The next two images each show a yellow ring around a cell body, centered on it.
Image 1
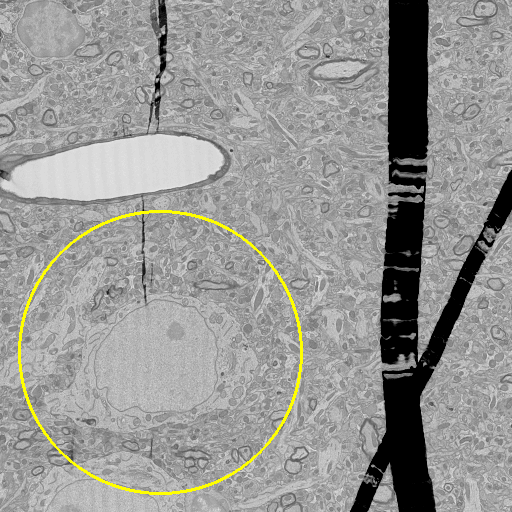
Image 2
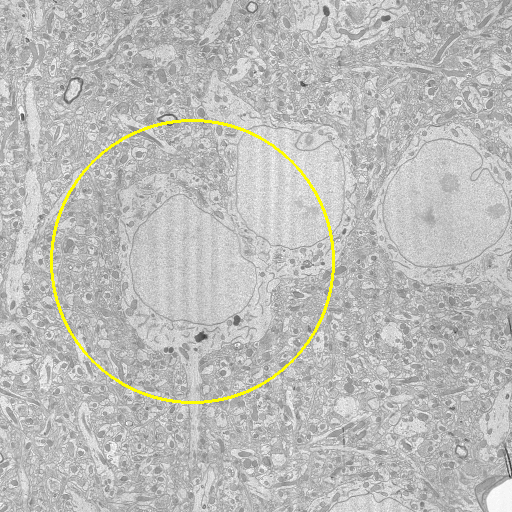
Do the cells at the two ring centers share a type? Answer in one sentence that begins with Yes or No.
Yes, across the two images the cells at the ring centers share one type.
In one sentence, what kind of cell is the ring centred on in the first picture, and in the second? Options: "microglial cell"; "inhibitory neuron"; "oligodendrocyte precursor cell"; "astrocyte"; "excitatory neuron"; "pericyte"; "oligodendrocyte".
The cell in the first picture is an excitatory neuron, and so is the one in the second.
